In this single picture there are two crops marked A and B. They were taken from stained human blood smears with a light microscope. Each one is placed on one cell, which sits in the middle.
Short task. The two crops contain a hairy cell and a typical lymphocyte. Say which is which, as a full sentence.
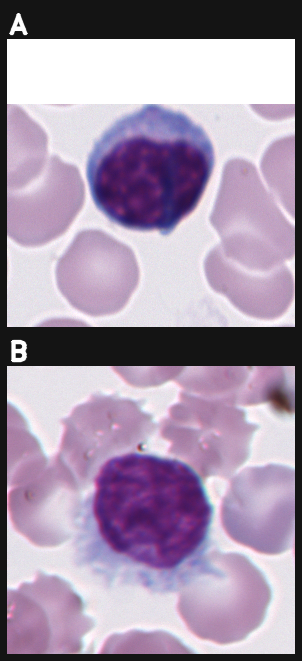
Crop A represents a typical lymphocyte, while crop B represents a hairy cell.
